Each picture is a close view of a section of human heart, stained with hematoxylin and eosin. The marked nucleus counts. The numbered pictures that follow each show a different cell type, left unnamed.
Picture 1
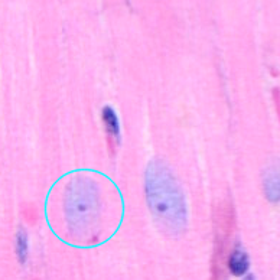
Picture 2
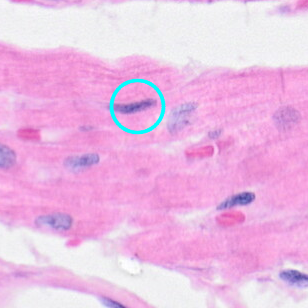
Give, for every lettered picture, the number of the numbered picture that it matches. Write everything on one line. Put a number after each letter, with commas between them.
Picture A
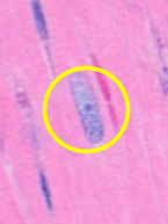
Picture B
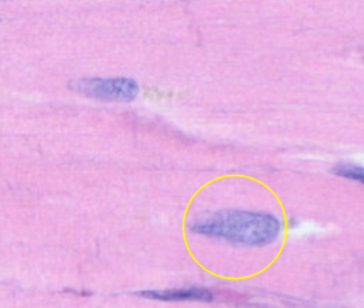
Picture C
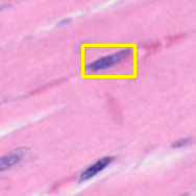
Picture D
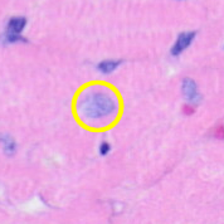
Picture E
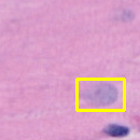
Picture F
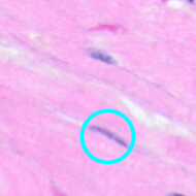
A 1, B 1, C 2, D 1, E 1, F 2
